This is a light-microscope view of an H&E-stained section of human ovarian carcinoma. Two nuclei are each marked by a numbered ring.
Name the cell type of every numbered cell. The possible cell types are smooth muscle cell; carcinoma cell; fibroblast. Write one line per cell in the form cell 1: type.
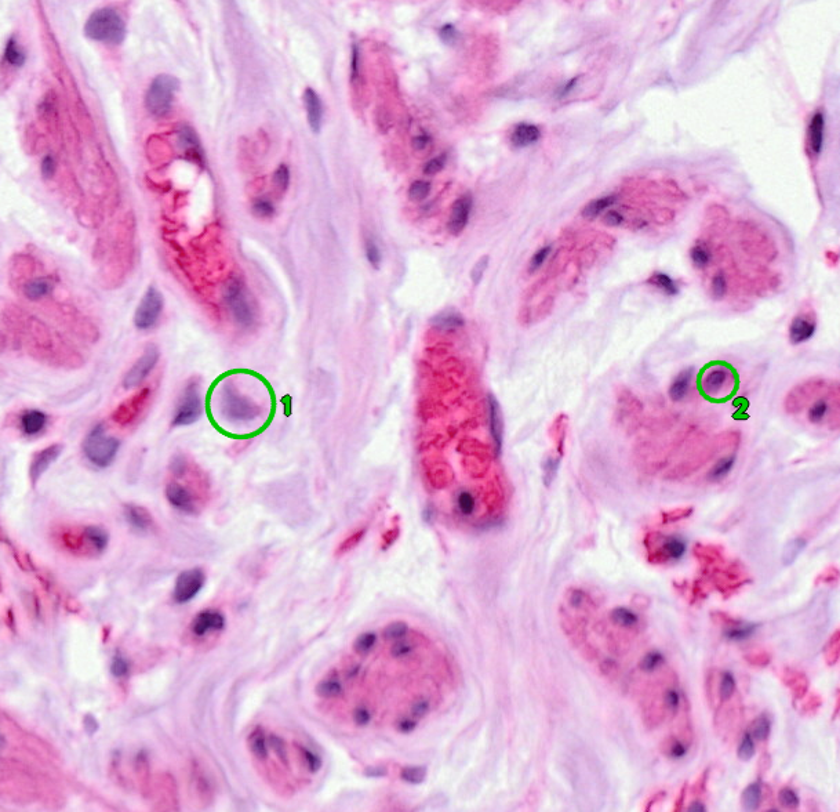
cell 1: fibroblast
cell 2: smooth muscle cell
